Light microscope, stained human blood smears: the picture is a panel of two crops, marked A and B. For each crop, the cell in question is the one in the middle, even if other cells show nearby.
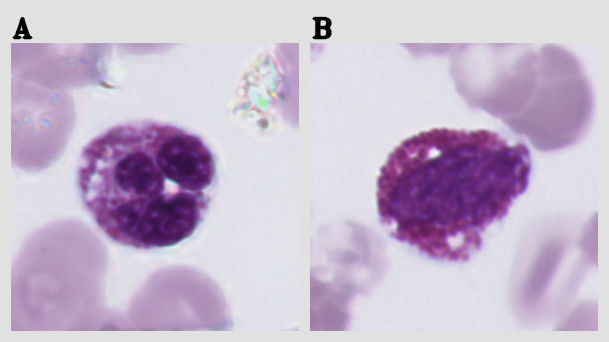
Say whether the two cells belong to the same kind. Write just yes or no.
yes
